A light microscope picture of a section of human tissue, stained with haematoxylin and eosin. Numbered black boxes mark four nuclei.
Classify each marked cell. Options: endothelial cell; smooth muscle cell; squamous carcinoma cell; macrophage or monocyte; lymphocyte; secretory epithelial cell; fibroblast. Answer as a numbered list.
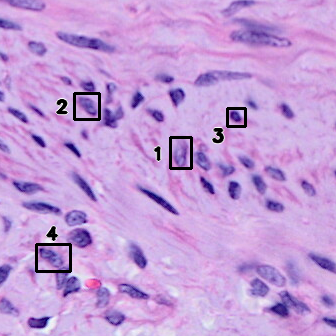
1. smooth muscle cell
2. smooth muscle cell
3. smooth muscle cell
4. endothelial cell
